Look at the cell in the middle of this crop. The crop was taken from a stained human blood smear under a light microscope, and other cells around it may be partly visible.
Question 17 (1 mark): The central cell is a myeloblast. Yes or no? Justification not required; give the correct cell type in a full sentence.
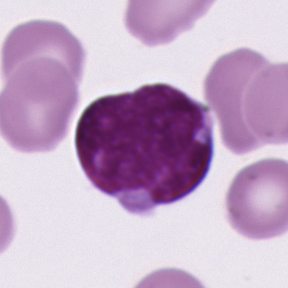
Yes, the cell occupying the center is a myeloblast.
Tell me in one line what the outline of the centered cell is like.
Irregular and not smooth, the cell boundary is ragged or drawn out into projections.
